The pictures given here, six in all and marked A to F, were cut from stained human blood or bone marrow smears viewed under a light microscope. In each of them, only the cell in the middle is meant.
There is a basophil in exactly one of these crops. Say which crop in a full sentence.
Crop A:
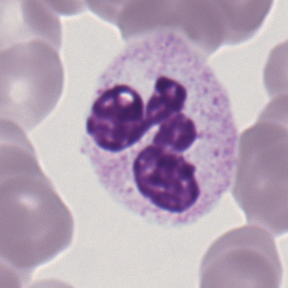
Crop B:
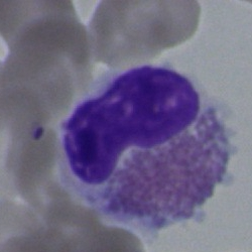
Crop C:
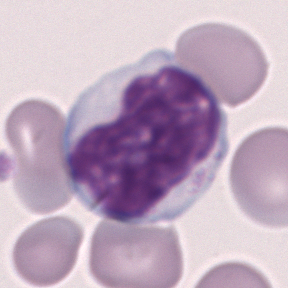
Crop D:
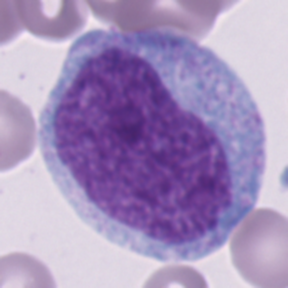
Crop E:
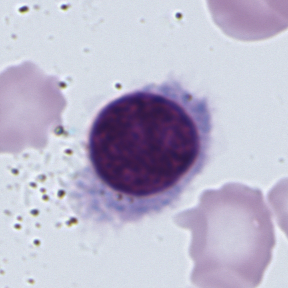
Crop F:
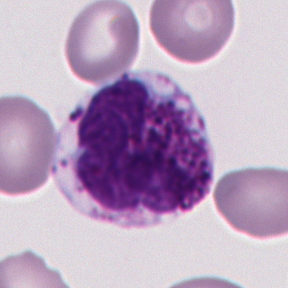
The one that shows a basophil is crop F.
